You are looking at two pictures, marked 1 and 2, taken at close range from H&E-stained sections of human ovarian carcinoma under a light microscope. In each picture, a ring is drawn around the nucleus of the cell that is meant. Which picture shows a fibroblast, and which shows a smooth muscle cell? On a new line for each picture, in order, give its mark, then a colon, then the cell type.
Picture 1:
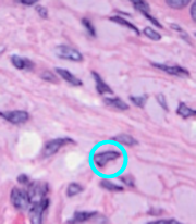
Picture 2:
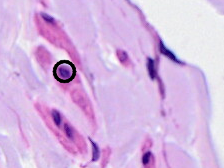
1: fibroblast
2: smooth muscle cell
